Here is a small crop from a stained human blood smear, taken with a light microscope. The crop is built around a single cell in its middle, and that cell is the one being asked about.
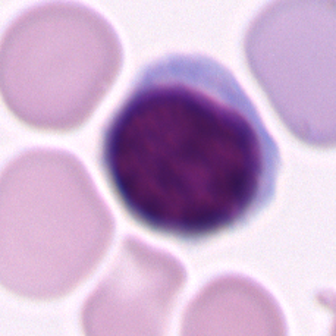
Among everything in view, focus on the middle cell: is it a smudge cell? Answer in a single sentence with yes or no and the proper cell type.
No, a typical lymphocyte, not a smudge cell, is what sits in the centre of the crop.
